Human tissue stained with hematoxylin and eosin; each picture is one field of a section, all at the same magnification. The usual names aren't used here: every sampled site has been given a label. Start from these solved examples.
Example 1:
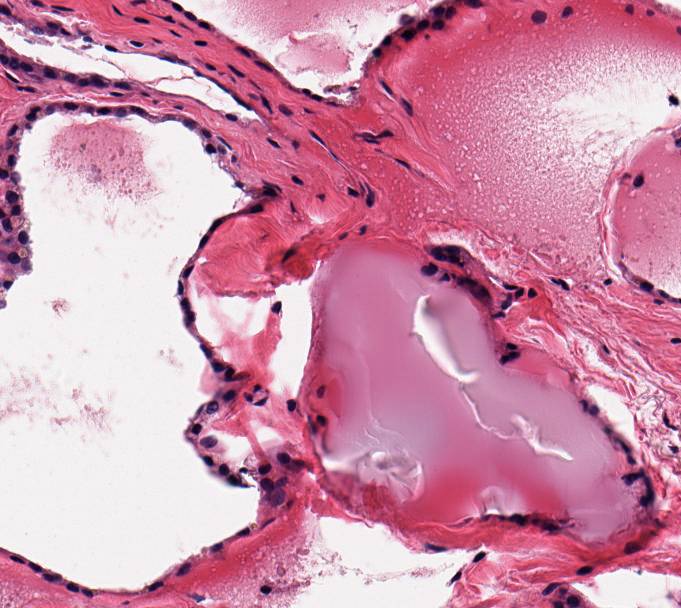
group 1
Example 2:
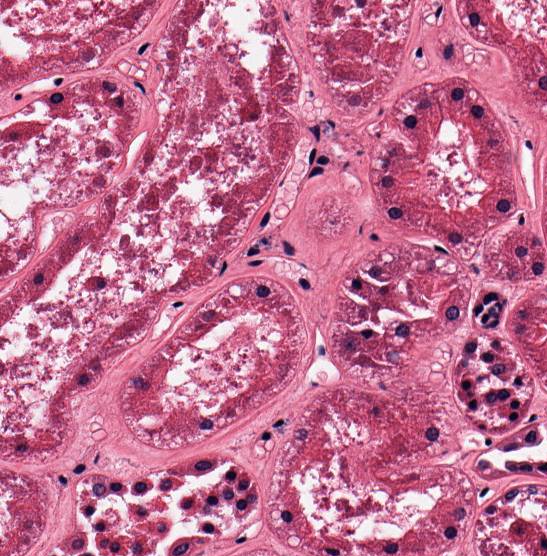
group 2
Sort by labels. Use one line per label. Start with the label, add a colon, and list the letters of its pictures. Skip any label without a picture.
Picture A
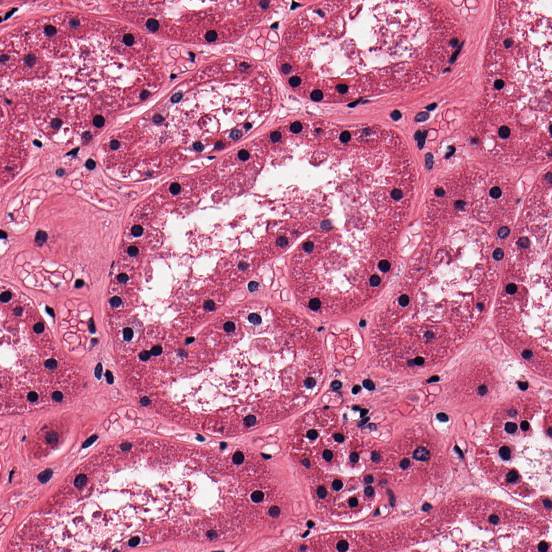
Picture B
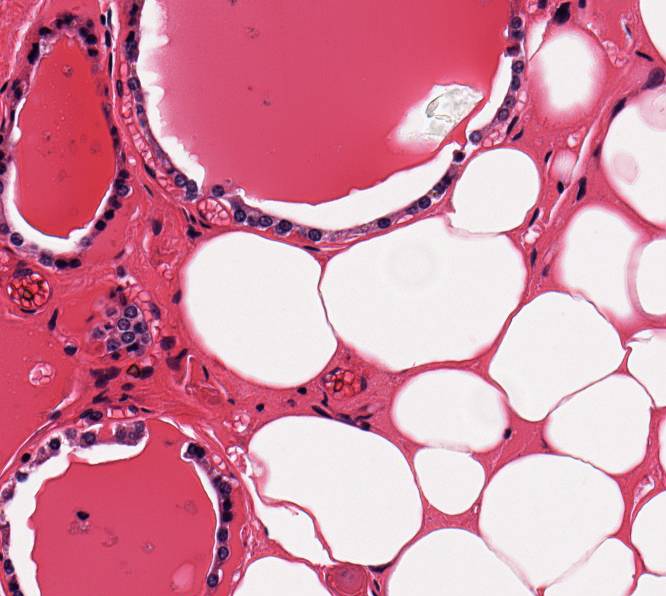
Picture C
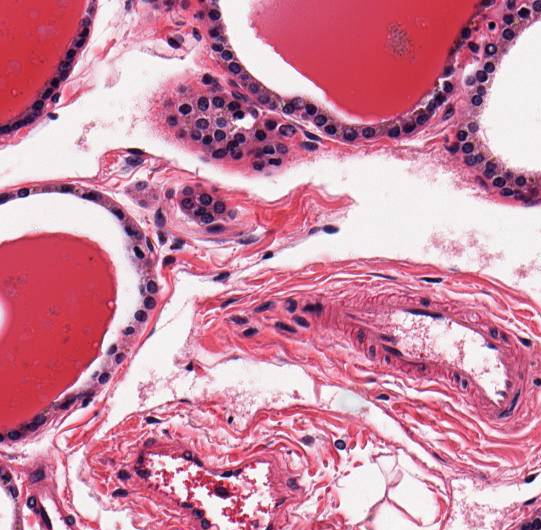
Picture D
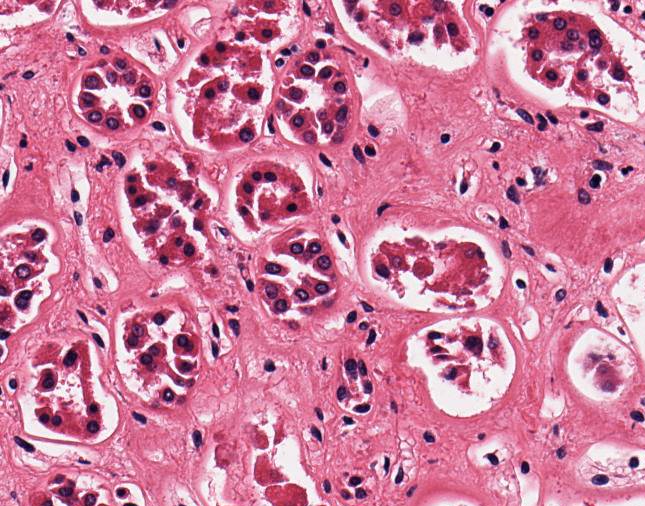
group 1: B, C
group 2: A, D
